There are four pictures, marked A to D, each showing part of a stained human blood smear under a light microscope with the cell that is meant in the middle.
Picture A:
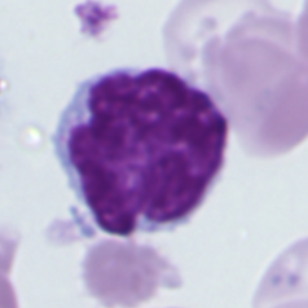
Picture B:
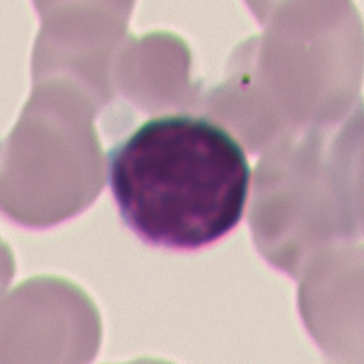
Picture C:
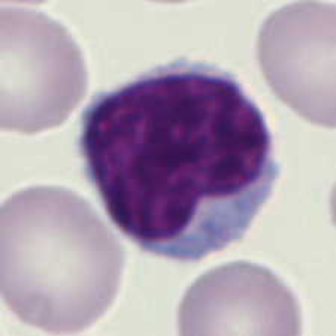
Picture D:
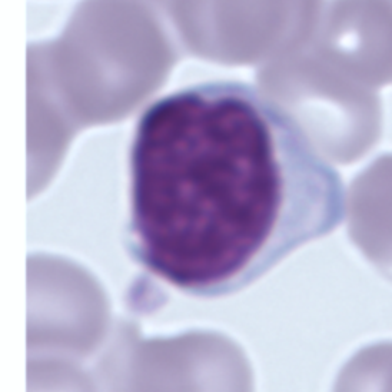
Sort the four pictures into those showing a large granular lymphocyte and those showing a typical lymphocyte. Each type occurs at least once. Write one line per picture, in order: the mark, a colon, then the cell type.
A: typical lymphocyte
B: typical lymphocyte
C: typical lymphocyte
D: large granular lymphocyte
